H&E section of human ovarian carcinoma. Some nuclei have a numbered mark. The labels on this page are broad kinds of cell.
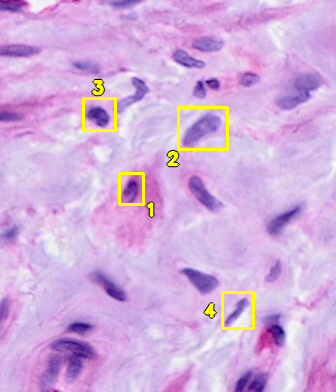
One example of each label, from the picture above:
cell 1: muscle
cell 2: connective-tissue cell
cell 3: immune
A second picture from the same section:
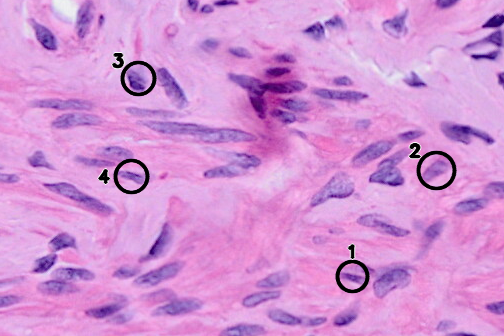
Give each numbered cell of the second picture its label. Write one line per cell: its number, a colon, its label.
1: muscle
2: muscle
3: connective-tissue cell
4: muscle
